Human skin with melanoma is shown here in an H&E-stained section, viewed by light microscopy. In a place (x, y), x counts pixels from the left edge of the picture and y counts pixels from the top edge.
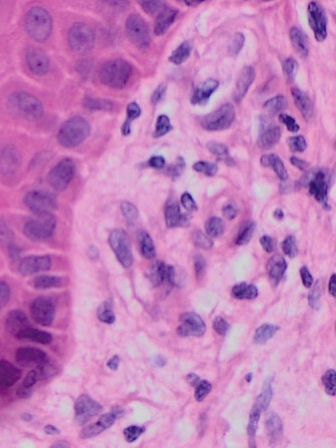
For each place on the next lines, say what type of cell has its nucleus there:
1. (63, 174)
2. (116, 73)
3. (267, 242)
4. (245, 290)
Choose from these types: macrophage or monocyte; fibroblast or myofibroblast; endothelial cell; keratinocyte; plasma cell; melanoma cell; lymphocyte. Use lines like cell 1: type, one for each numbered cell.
cell 1: keratinocyte
cell 2: keratinocyte
cell 3: lymphocyte
cell 4: lymphocyte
